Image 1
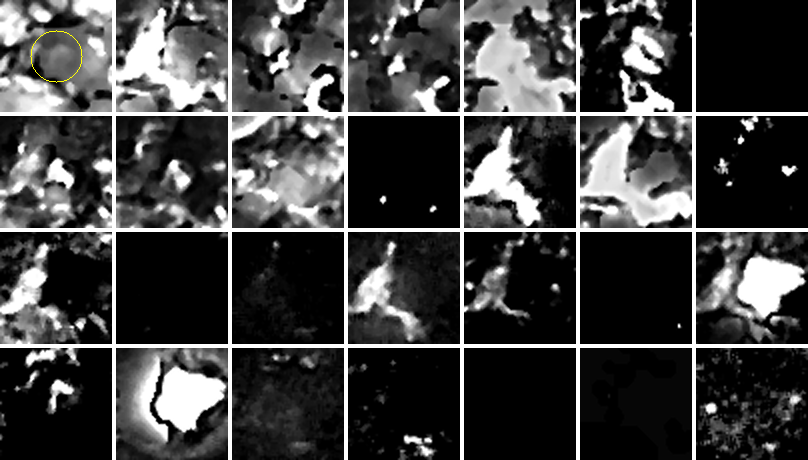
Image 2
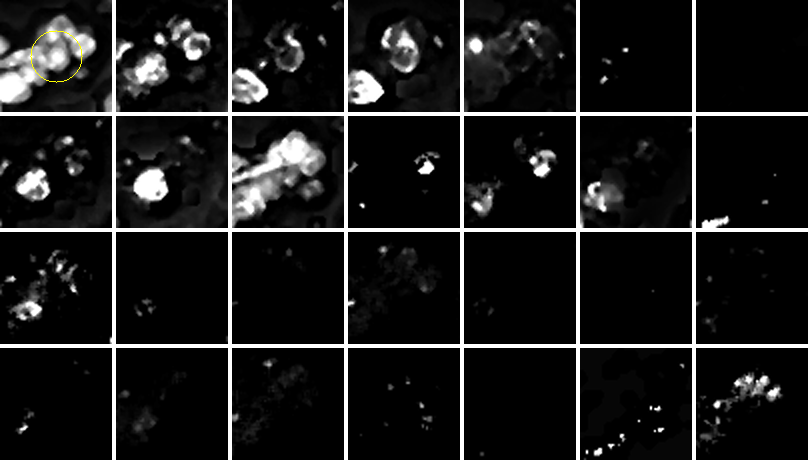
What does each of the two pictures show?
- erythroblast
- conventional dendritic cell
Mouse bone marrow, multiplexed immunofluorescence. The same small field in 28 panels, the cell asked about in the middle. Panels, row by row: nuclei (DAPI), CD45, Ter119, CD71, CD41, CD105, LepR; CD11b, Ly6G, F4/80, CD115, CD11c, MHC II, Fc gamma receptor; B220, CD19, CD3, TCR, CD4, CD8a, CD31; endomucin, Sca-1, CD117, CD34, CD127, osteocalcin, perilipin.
1: conventional dendritic cell
2: erythroblast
